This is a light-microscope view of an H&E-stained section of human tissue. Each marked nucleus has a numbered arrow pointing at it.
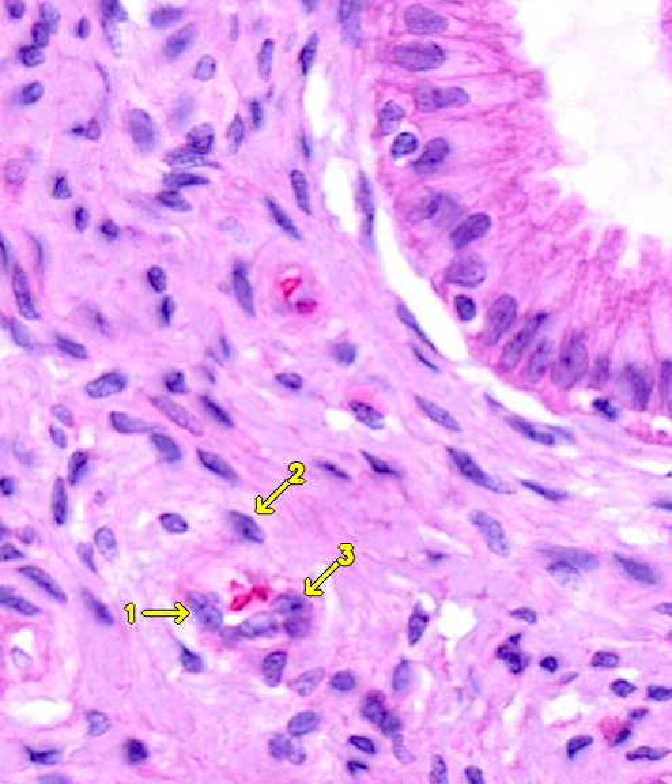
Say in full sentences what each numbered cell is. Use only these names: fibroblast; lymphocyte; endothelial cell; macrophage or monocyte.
Cells 1 and 3 are endothelial cells. Cell 2 is a fibroblast.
